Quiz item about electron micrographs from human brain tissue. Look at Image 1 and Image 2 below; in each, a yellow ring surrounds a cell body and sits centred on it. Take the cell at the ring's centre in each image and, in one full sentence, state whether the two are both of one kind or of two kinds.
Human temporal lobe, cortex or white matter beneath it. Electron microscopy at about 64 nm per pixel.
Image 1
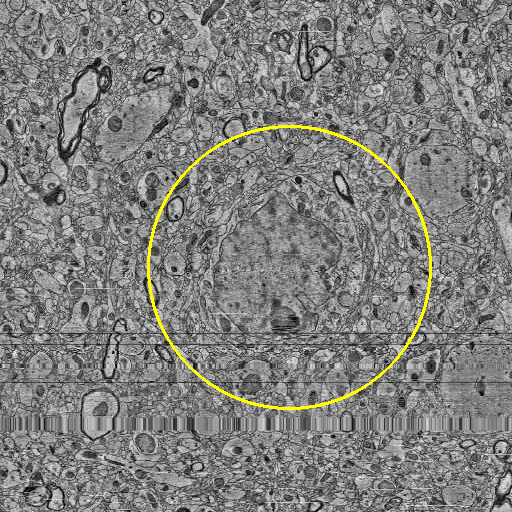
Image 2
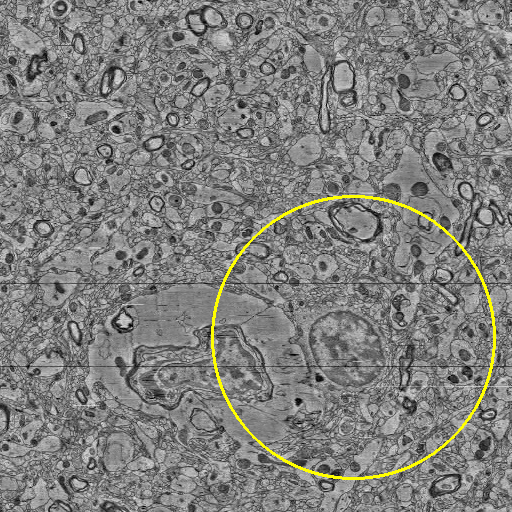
In Image 1 and Image 2, the cells at the ring centres are of two kinds.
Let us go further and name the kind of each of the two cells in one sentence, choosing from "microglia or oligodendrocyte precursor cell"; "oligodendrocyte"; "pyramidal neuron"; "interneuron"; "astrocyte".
The ring of the first picture is on an interneuron, the ring of the second on an oligodendrocyte.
